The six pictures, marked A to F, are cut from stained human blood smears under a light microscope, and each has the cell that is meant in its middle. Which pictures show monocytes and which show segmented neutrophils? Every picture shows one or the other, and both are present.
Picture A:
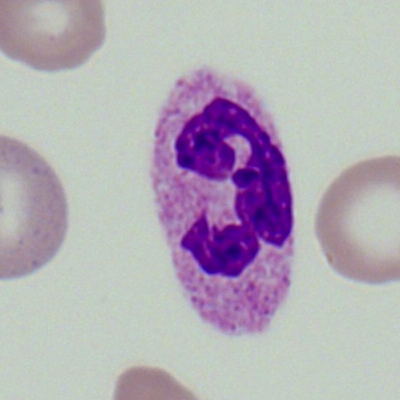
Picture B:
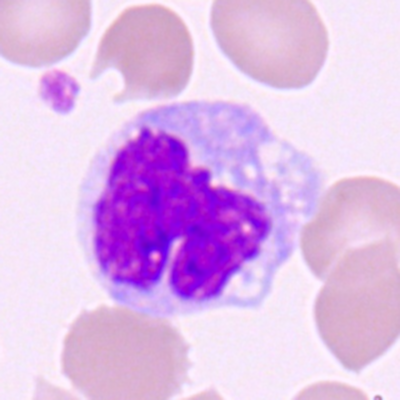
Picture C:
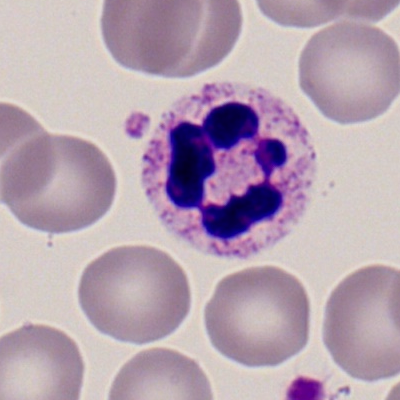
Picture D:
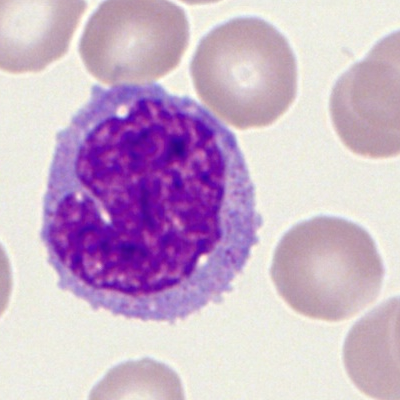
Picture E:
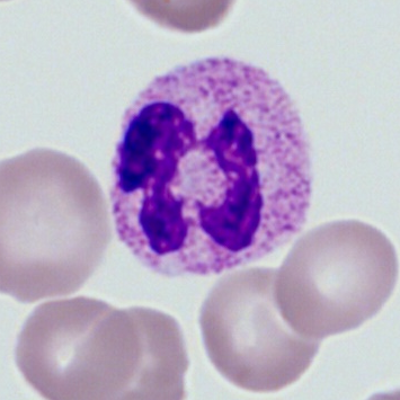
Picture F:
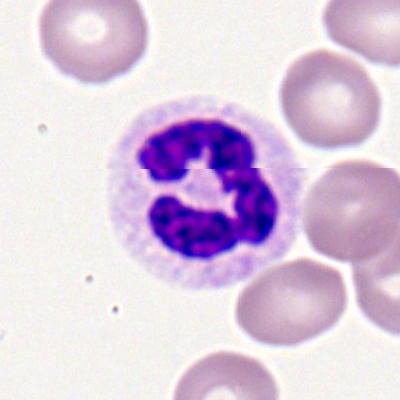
A: segmented neutrophil
B: monocyte
C: segmented neutrophil
D: monocyte
E: segmented neutrophil
F: segmented neutrophil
